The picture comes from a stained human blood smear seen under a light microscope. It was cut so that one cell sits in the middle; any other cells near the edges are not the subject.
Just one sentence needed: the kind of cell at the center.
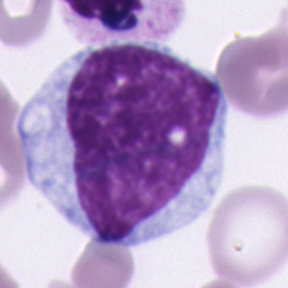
This crop's central cell is a monocyte.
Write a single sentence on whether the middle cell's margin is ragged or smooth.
The outline traces a smooth curve with no projections along it.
